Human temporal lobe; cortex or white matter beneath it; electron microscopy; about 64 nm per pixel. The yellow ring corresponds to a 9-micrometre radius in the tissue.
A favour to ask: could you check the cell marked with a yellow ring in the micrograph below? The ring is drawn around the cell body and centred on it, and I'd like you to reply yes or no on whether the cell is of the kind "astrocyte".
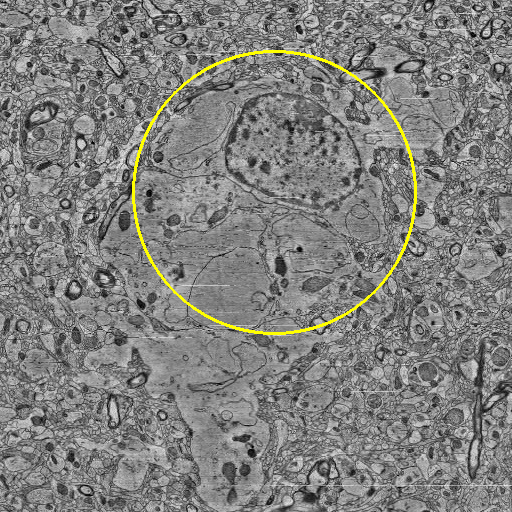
yes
